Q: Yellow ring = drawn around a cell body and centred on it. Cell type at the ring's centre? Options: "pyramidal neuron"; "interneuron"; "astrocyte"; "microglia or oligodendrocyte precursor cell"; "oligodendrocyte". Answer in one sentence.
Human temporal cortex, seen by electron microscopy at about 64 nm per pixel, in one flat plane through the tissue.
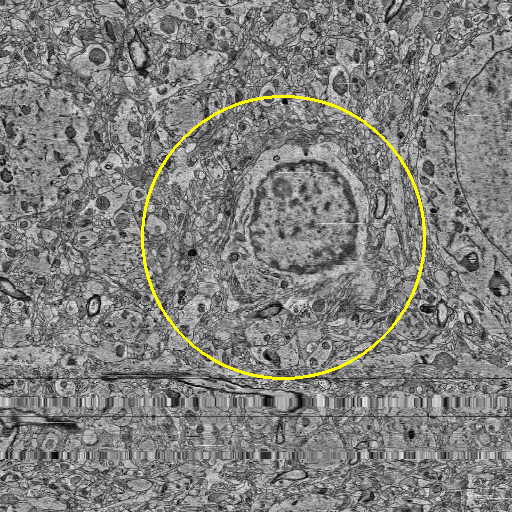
Centred in the ring is a microglial cell or oligodendrocyte precursor cell.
